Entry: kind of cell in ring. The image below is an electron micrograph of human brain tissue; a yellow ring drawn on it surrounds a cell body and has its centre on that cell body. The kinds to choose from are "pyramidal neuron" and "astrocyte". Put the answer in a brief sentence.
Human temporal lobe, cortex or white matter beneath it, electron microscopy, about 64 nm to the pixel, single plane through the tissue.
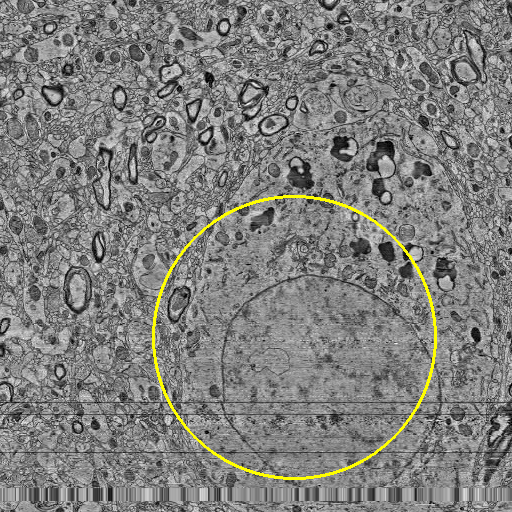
The ring has been drawn around a pyramidal neuron.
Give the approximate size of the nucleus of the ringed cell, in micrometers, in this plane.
The nucleus appears about 15 micrometres across in this plane.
